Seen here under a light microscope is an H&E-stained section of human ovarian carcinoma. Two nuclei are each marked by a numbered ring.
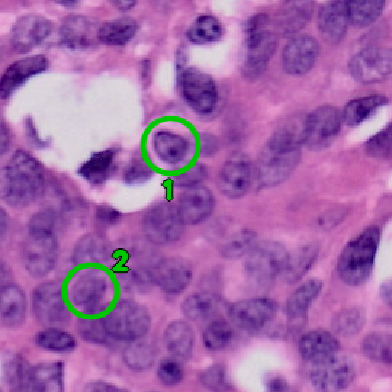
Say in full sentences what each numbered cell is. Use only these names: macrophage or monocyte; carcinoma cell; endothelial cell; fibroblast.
Cell 1 is a macrophage or monocyte. Cell 2 is a carcinoma cell.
